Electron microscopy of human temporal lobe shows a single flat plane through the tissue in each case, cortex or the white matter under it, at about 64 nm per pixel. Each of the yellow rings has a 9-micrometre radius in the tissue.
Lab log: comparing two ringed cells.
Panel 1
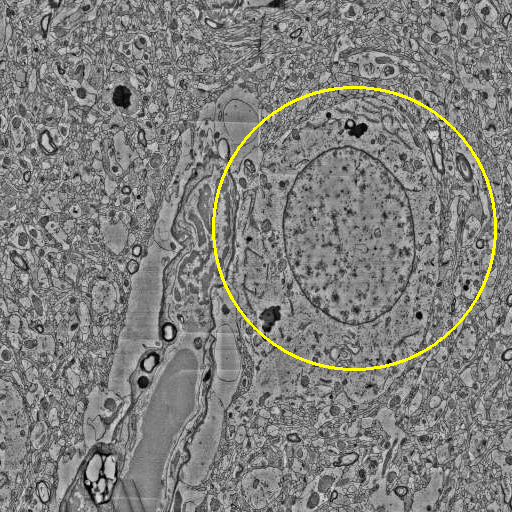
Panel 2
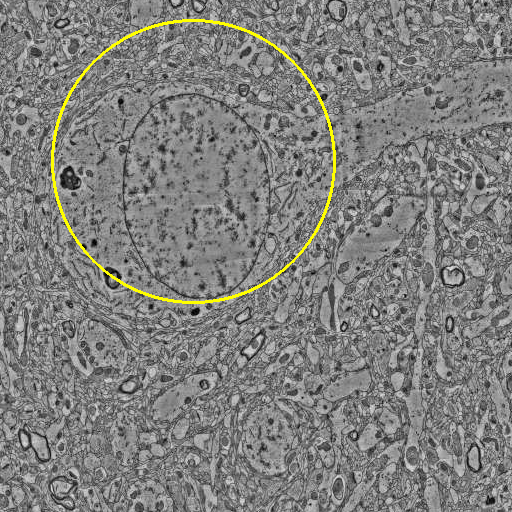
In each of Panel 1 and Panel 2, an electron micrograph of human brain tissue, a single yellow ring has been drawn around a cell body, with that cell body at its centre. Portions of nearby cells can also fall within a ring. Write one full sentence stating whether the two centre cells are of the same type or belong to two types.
The cells at the ring centres in Panel 1 and Panel 2 are of the same type.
